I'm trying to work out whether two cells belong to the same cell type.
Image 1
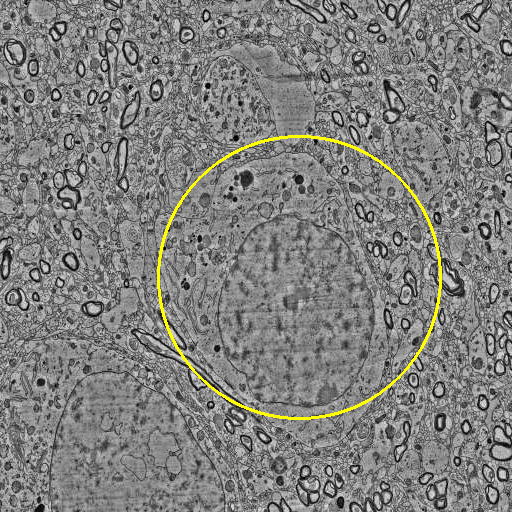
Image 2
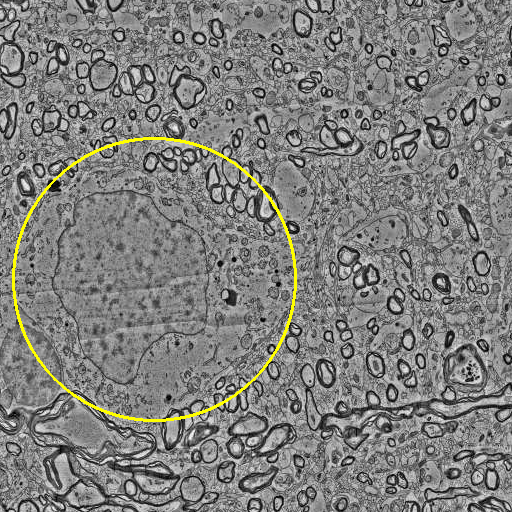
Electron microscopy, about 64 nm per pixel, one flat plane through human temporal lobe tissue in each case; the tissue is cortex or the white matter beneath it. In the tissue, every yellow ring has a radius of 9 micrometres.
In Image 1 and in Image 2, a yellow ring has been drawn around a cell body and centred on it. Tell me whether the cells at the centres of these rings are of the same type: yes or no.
no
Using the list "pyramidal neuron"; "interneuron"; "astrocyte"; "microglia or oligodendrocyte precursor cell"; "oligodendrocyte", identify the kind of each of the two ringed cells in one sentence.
The first is an interneuron and the second is a pyramidal neuron.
